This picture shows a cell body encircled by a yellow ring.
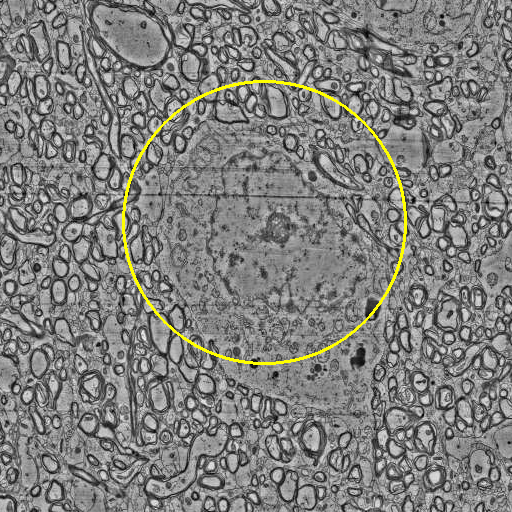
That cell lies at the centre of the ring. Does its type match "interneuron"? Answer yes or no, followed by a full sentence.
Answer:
Yes, in the picture, the ring surrounds a cell of that type at its centre.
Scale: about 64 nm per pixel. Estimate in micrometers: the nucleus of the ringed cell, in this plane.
In this plane the nucleus spans approximately 11 by 9 micrometers.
